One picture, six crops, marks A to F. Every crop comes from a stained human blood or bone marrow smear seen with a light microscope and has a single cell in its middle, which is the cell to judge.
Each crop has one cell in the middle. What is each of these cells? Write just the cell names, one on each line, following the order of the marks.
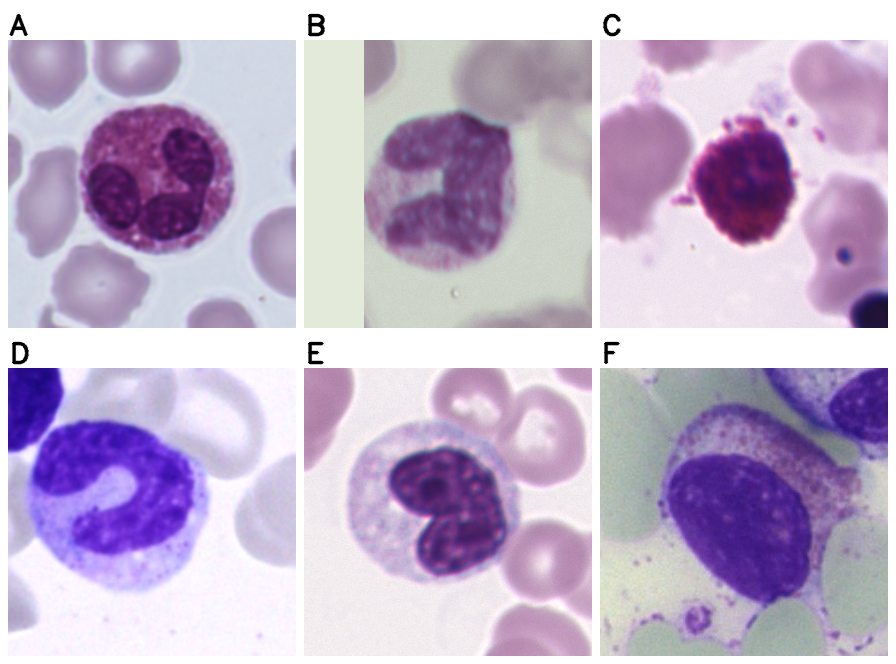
eosinophil
band neutrophil
eosinophil
band neutrophil
band neutrophil
eosinophil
